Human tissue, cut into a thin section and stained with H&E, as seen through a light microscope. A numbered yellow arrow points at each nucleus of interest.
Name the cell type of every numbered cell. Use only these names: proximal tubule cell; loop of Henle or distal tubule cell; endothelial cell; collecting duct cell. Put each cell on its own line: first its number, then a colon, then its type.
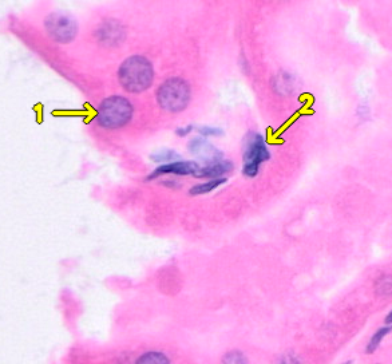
1: proximal tubule cell
2: endothelial cell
